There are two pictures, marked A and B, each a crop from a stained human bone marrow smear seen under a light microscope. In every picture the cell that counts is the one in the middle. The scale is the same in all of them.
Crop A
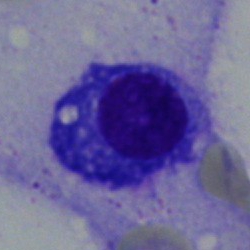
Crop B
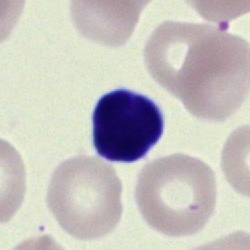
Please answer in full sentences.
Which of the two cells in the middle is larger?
The cell in crop A is larger, with about 3 times the area of the one in crop B.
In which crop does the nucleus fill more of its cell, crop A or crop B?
The nucleus fills more of the cell in crop B than in crop A.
